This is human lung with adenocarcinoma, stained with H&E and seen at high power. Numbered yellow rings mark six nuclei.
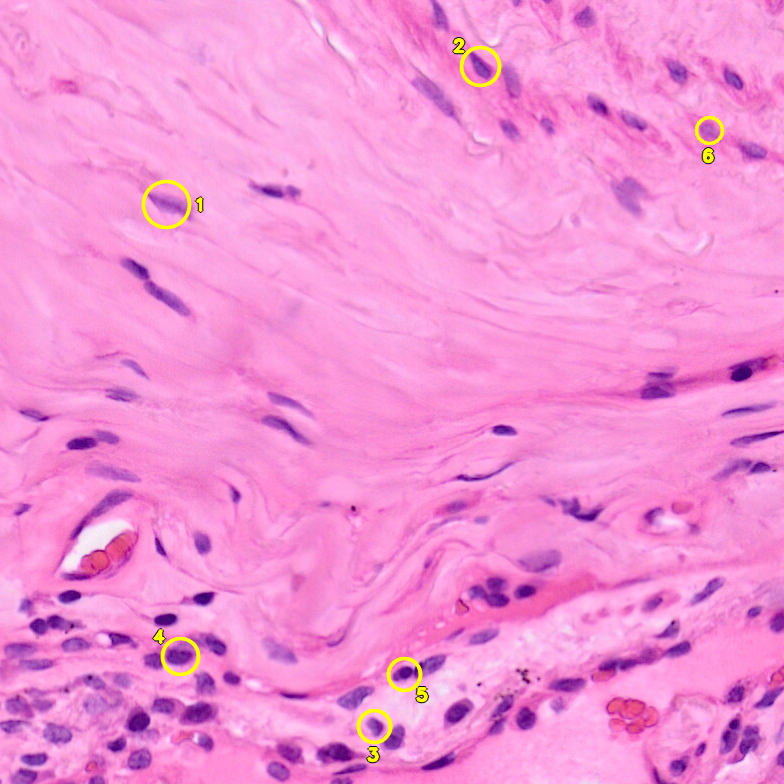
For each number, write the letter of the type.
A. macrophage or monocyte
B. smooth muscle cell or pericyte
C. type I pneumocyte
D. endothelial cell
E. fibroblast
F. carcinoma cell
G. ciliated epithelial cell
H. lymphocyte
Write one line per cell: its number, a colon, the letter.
1: E
2: B
3: H
4: H
5: H
6: B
